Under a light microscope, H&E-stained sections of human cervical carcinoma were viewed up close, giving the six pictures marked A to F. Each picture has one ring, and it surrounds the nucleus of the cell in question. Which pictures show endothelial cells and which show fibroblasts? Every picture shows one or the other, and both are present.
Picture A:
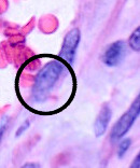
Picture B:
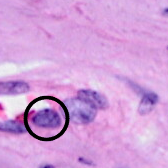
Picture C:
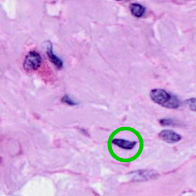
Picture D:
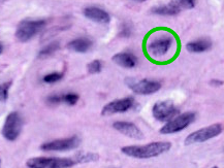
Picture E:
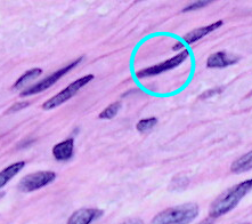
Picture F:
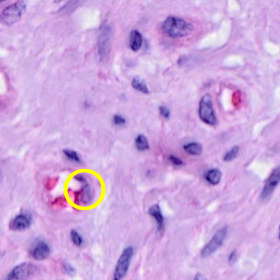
A: endothelial cell
B: endothelial cell
C: fibroblast
D: fibroblast
E: fibroblast
F: endothelial cell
